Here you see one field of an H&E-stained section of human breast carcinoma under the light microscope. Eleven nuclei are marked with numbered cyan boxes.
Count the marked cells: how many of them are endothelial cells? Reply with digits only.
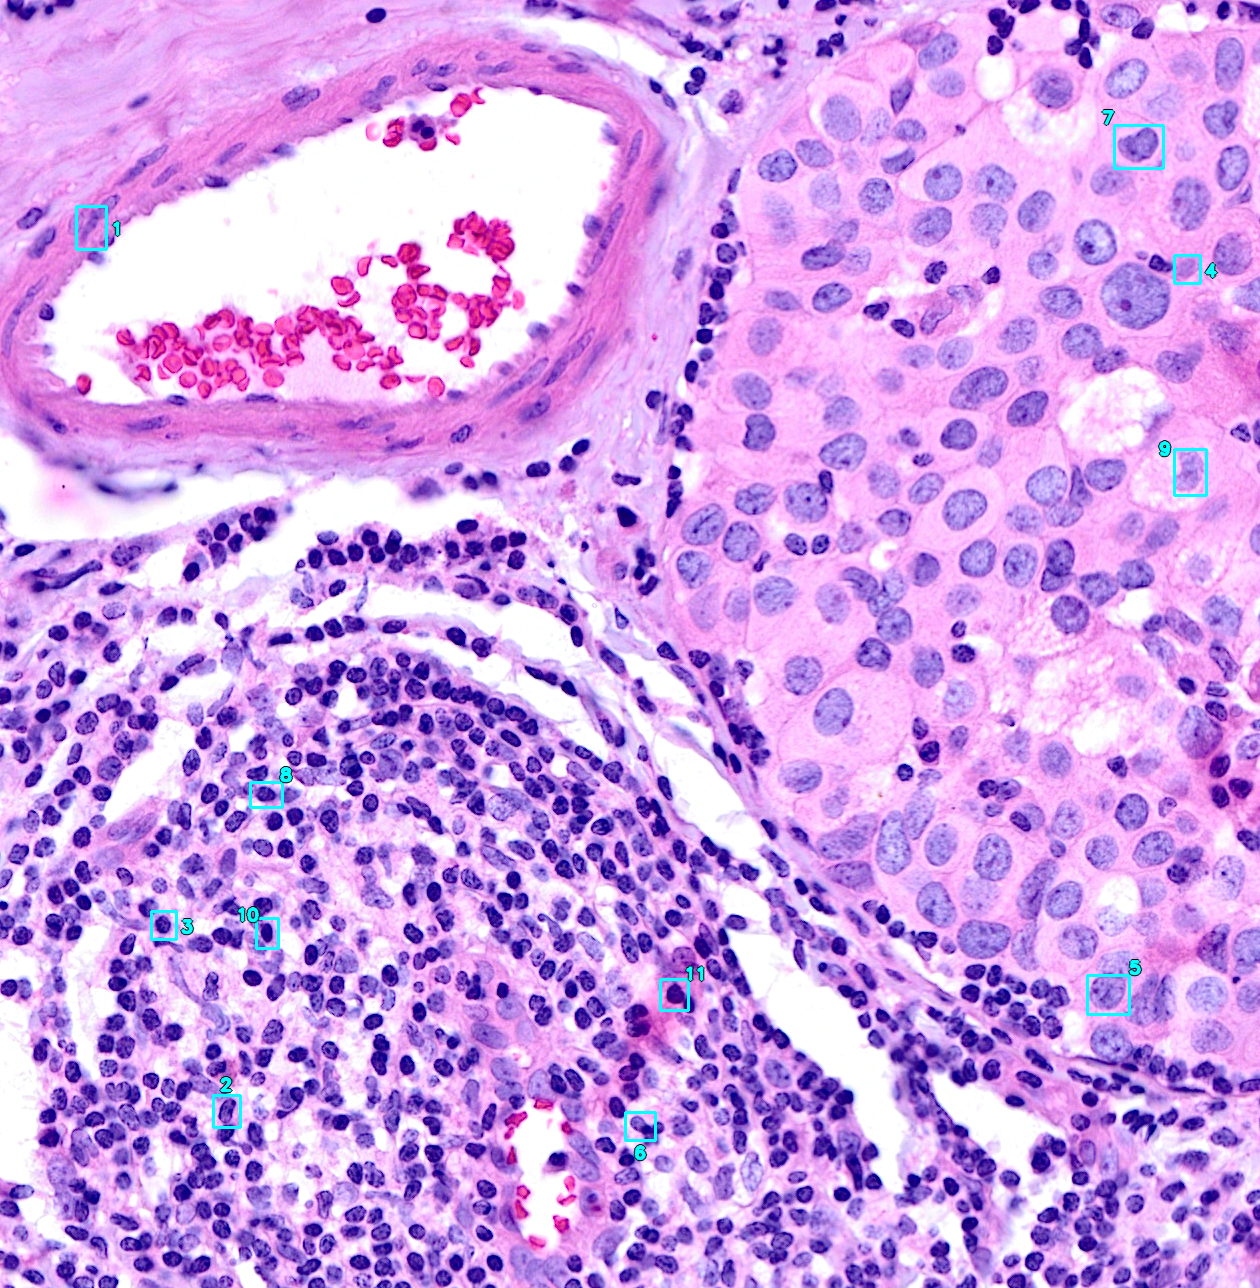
1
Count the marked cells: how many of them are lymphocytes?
6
